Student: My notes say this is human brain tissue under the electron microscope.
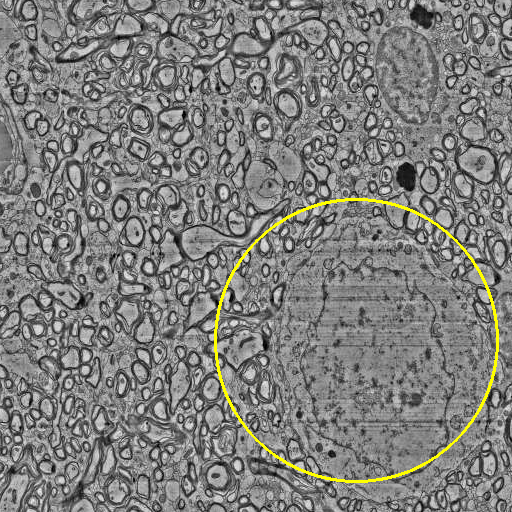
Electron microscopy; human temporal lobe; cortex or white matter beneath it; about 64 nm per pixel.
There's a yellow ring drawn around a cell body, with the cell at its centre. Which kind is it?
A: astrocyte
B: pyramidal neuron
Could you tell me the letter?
B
